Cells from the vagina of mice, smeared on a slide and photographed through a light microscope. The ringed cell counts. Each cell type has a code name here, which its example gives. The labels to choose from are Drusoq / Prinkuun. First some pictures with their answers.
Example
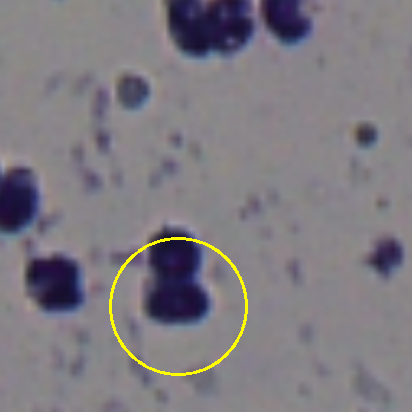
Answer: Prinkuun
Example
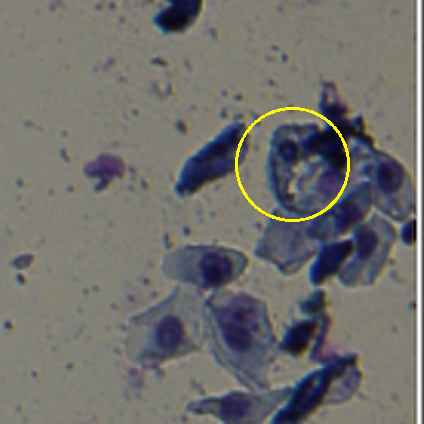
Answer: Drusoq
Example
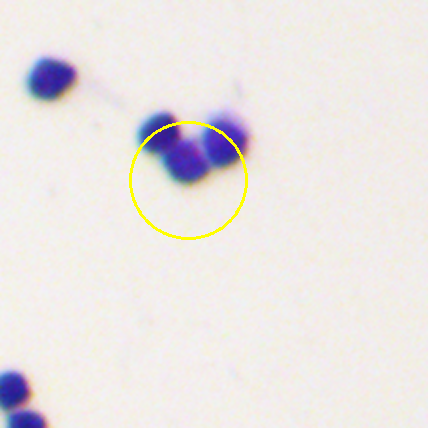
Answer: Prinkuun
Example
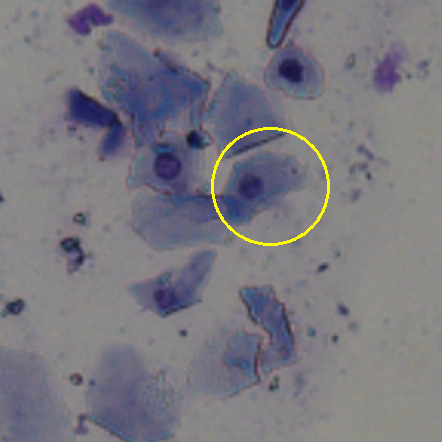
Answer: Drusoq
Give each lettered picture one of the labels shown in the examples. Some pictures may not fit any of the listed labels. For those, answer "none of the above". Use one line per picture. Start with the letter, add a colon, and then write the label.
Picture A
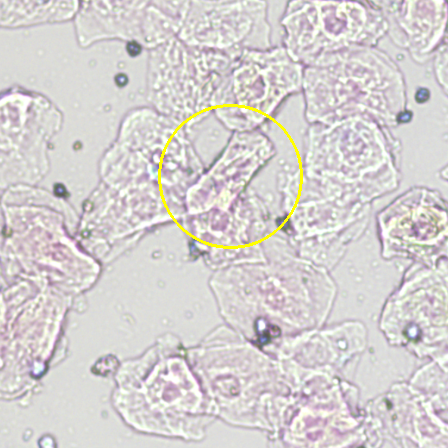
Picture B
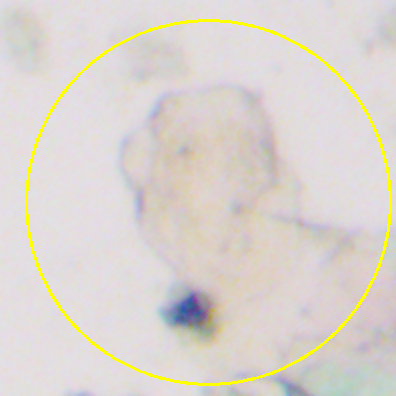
A: none of the above
B: none of the above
